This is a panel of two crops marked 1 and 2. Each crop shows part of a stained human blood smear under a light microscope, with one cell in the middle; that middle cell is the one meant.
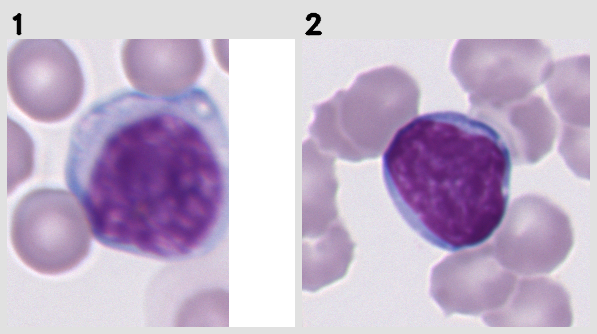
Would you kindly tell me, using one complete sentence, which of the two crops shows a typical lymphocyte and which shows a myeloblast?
In crop 1 there is a myeloblast, and in crop 2 there is a typical lymphocyte.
